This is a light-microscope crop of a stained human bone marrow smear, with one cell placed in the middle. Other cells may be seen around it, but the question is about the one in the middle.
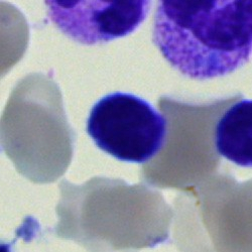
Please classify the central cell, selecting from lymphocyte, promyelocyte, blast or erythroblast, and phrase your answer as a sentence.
This crop's central cell is a lymphocyte.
